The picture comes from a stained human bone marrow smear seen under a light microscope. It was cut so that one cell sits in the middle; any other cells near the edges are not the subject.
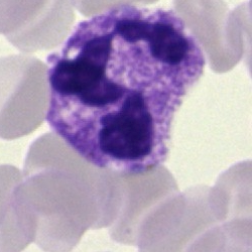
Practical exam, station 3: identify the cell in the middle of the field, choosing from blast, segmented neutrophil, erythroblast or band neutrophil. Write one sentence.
The crop centres on a single cell, and that cell is a segmented neutrophil.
